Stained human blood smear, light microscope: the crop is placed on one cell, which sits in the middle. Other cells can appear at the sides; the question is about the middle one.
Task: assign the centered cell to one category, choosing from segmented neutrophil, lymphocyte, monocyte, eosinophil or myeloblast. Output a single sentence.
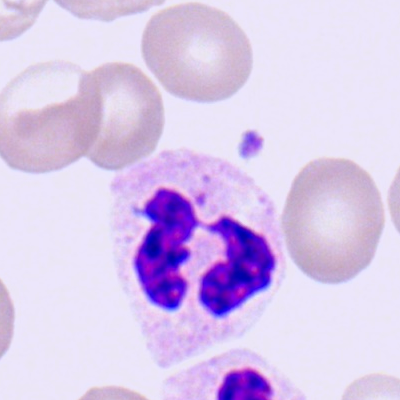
Here the cell in the middle is a segmented neutrophil.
